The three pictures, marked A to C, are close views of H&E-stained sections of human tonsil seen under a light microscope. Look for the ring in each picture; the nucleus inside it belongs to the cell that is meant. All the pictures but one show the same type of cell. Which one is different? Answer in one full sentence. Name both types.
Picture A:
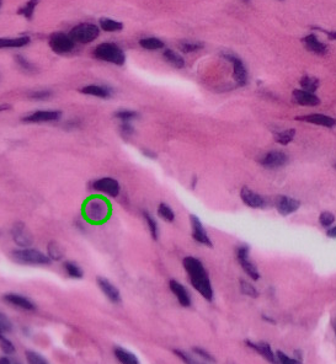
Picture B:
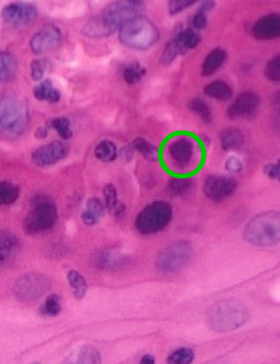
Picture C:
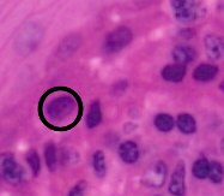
All pictures except A show squamous epithelial cells; picture A shows an endothelial cell.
